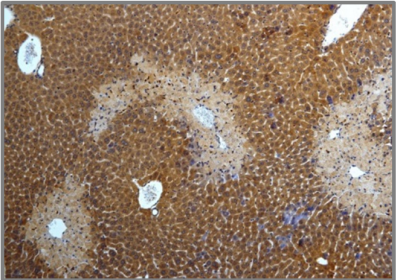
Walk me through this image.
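This is liver parenchyma of hepatocytes at low power, with dense brown staining across most of the field. Around several of the vessels there are broad paler, tan zones with a looser texture and scattered dark nuclei, sharply set off from the more intensely brown surrounding hepatocytes.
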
